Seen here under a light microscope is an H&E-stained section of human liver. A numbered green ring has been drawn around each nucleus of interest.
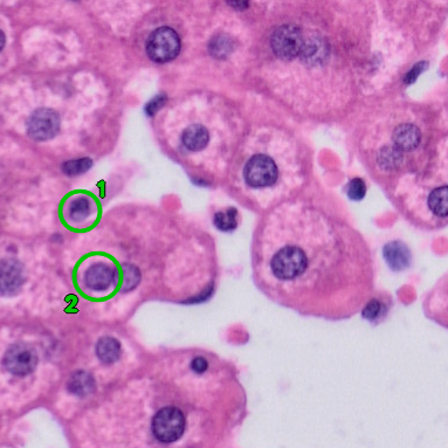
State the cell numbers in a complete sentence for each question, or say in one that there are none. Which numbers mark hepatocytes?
It is only cell 2 that is a hepatocyte among the numbered cells.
